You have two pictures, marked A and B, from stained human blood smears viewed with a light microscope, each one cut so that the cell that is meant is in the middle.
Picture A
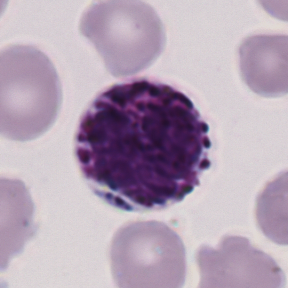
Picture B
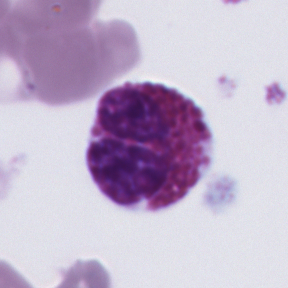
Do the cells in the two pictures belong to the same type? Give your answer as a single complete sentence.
No, the types are not the same, since picture A shows a basophil and picture B an eosinophil.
